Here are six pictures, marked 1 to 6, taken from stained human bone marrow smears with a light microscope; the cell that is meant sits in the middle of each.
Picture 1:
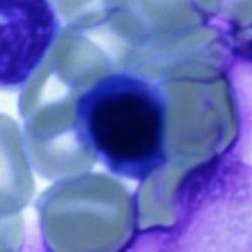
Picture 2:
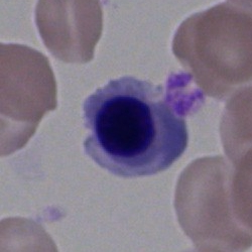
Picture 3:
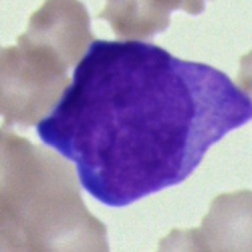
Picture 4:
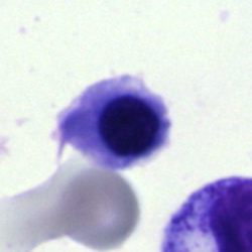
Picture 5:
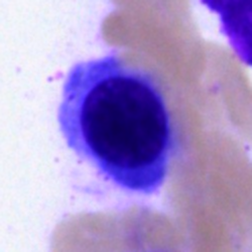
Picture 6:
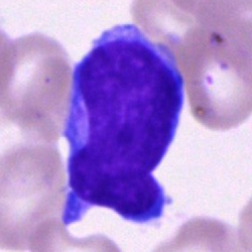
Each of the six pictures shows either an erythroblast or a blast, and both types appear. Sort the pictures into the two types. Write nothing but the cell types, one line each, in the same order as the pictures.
erythroblast
erythroblast
blast
erythroblast
erythroblast
blast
